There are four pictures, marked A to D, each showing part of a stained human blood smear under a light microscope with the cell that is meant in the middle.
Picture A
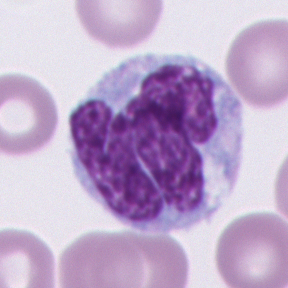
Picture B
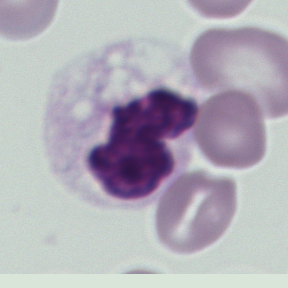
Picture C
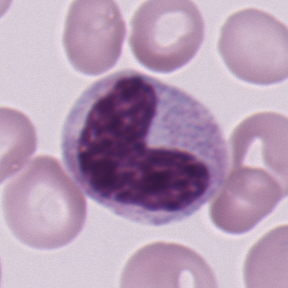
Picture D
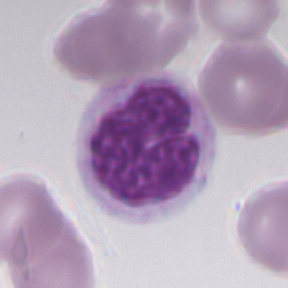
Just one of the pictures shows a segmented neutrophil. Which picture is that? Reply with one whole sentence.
The segmented neutrophil is the one in picture B.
